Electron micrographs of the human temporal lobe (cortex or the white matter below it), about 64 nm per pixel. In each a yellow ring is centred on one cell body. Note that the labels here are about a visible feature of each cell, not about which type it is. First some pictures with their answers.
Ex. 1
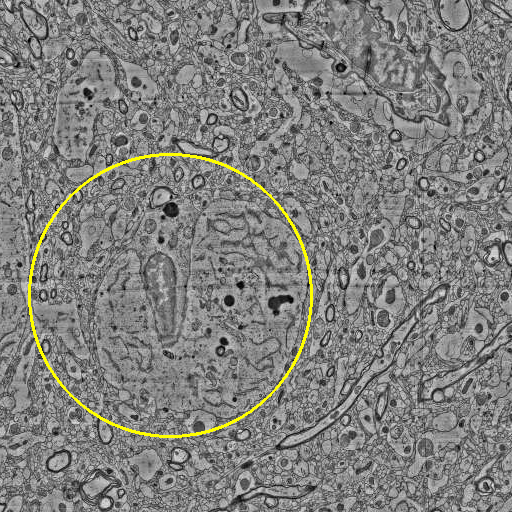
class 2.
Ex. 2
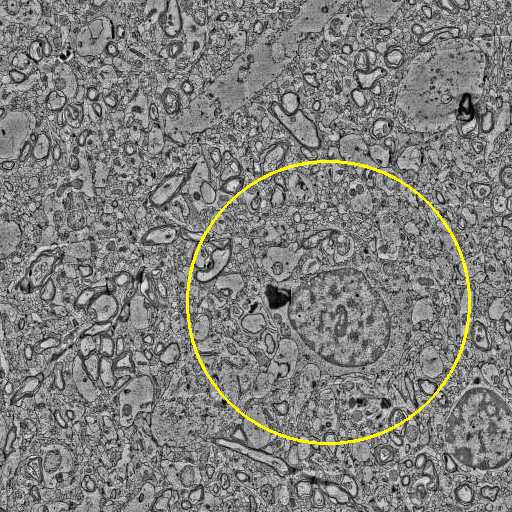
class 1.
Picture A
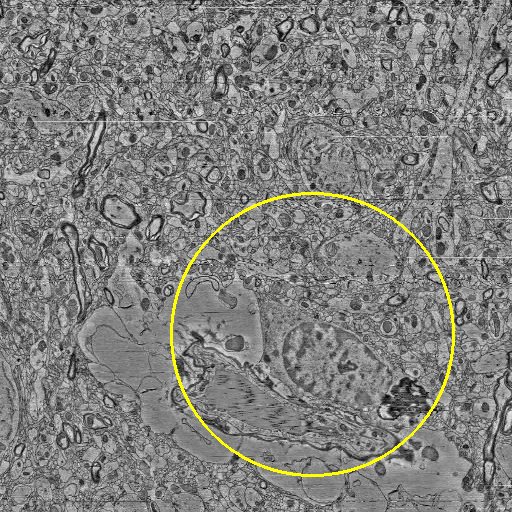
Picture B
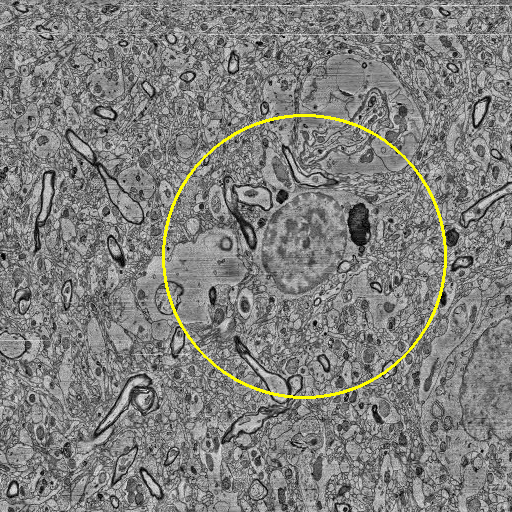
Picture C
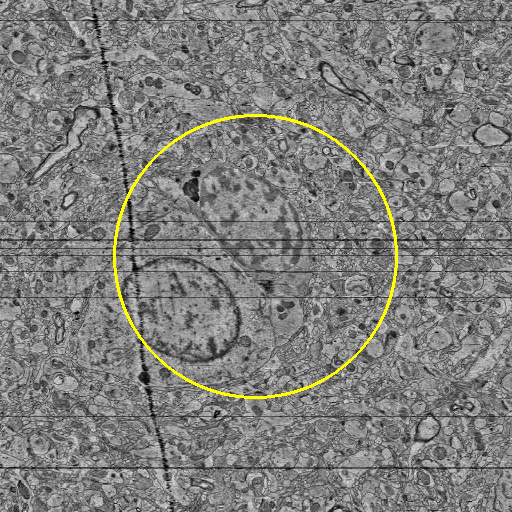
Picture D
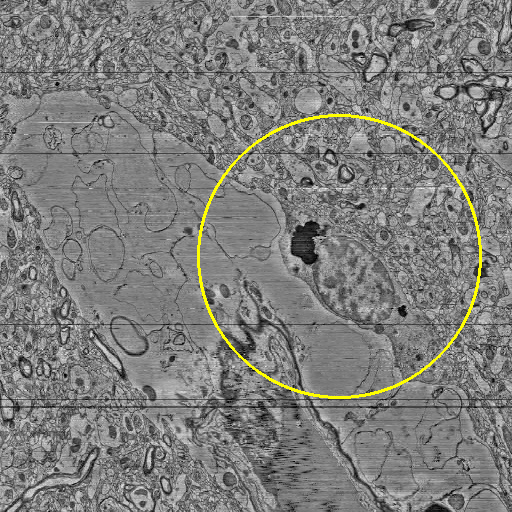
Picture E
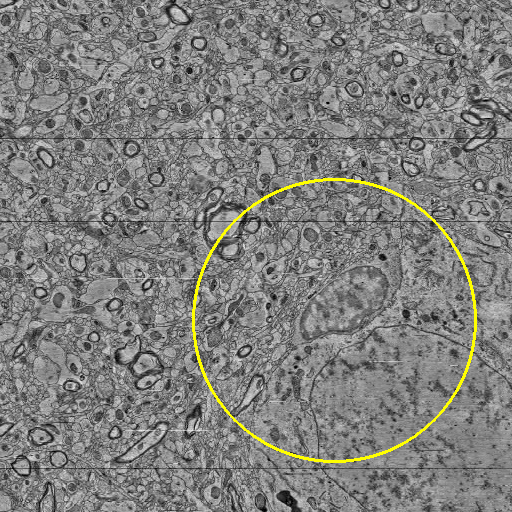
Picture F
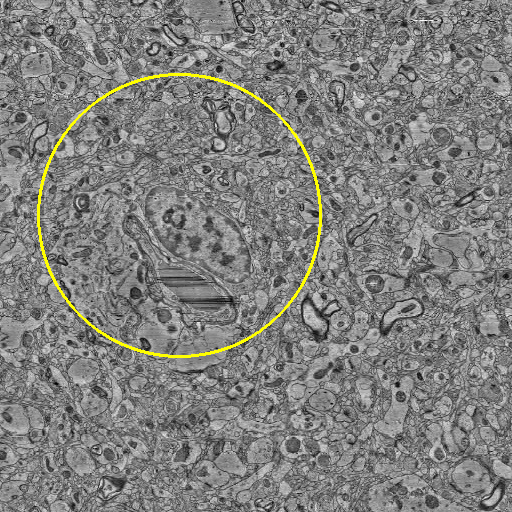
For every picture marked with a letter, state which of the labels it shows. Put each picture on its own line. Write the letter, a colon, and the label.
A: class 2.
B: class 1.
C: class 2.
D: class 2.
E: class 2.
F: class 2.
